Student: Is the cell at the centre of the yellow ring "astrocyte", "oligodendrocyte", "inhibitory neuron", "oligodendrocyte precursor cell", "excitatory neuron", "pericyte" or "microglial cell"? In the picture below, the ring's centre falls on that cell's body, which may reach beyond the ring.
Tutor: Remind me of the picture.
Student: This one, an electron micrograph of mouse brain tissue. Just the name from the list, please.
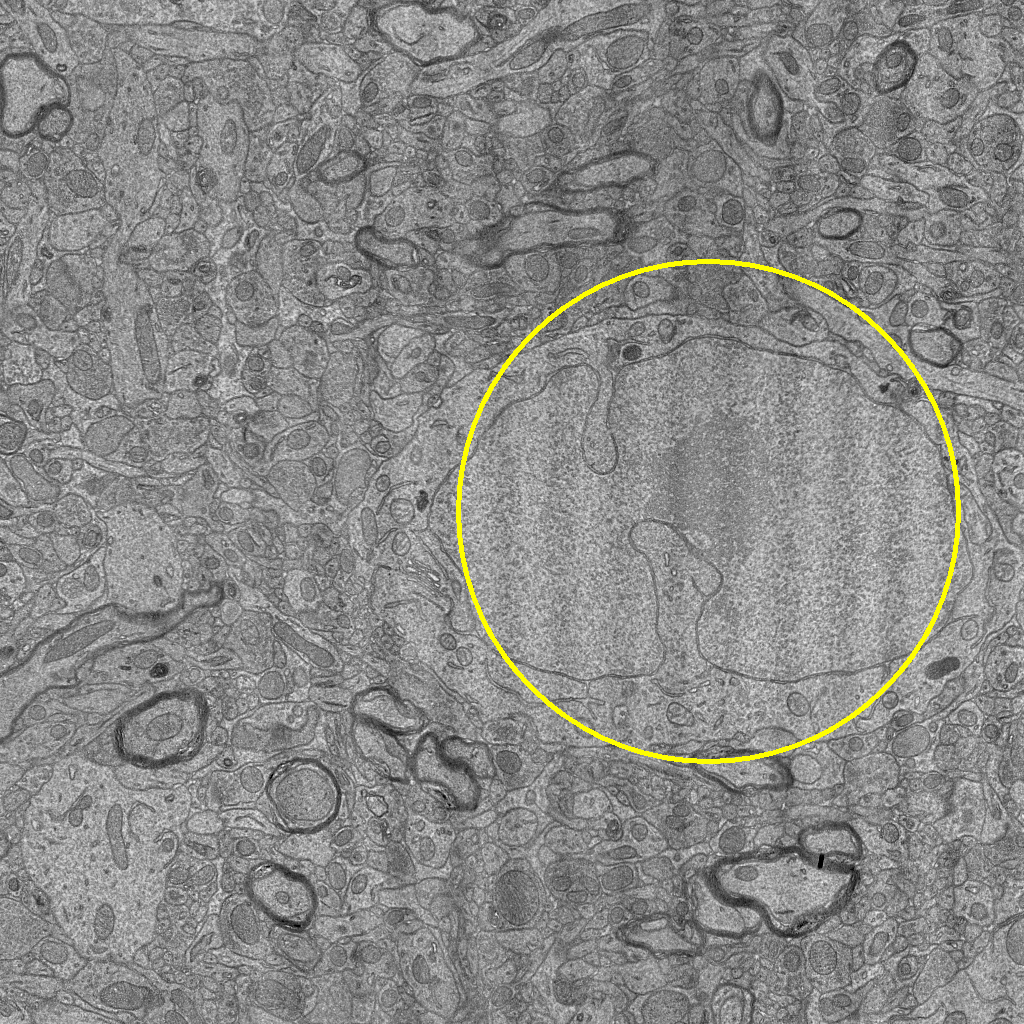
inhibitory neuron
